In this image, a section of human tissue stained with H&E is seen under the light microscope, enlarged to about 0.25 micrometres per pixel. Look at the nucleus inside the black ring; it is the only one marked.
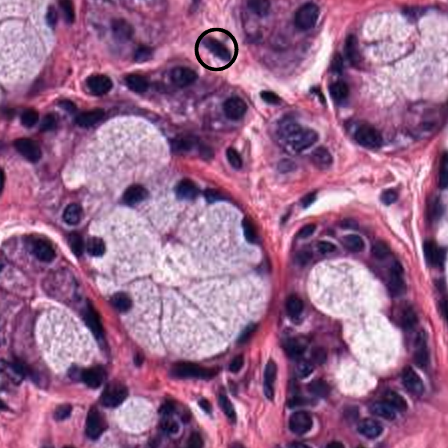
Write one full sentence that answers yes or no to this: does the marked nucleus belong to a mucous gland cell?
No, the marked nucleus is part of a supporting cell and does not belong to a mucous gland cell.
